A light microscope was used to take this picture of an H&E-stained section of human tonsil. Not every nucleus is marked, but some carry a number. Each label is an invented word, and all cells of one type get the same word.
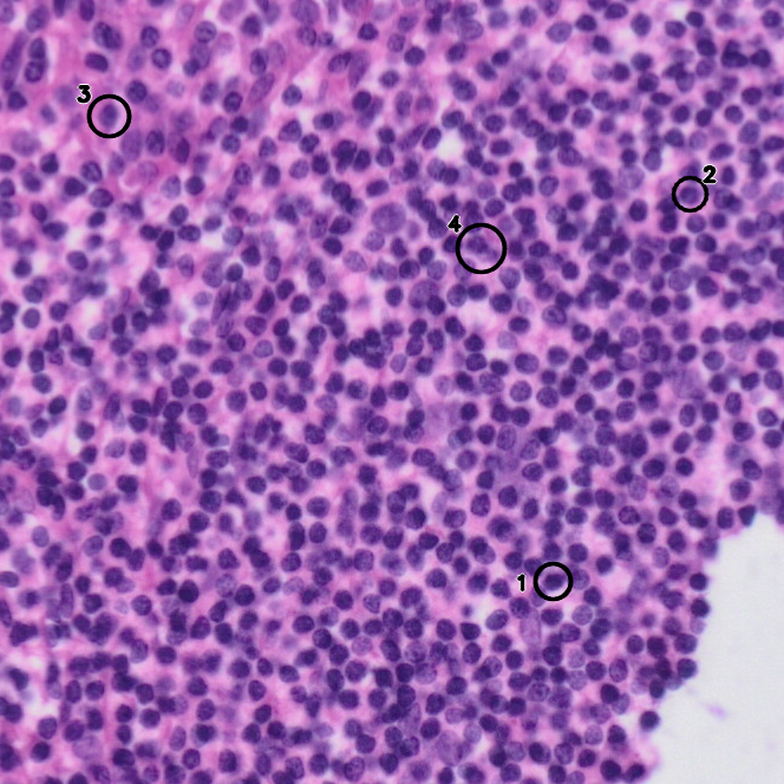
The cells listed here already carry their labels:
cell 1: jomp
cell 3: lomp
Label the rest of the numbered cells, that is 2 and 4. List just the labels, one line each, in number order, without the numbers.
jomp
jomp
